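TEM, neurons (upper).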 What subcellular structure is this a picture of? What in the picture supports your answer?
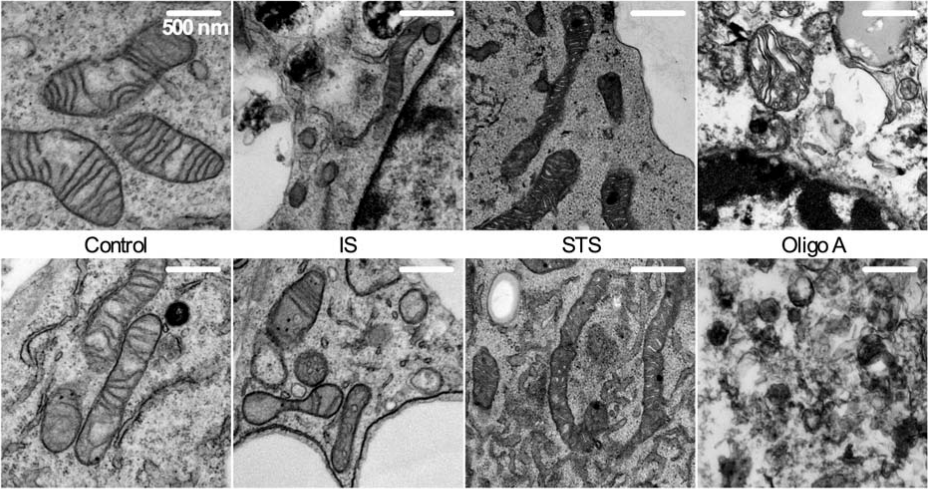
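Oval and elongated organelles bounded by a double membrane. Regular transverse inner membrane folds cross their matrix in the left column.
Hence: mitochondria.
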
